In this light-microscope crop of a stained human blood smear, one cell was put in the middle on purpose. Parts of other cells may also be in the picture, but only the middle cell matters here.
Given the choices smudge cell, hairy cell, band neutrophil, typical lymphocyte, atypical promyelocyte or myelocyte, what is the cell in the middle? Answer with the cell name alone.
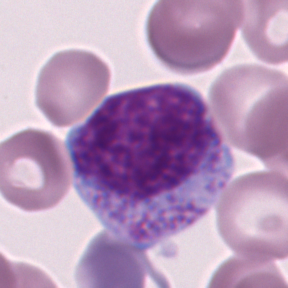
myelocyte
